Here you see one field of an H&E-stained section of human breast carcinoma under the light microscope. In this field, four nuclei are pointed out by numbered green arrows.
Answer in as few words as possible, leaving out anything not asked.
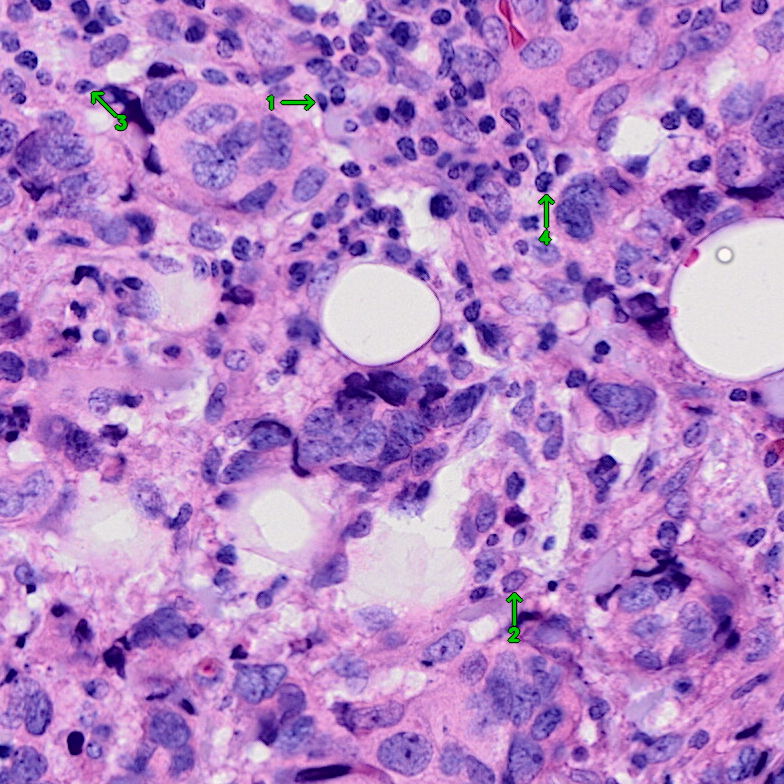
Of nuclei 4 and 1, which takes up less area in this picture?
1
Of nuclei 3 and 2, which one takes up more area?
2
